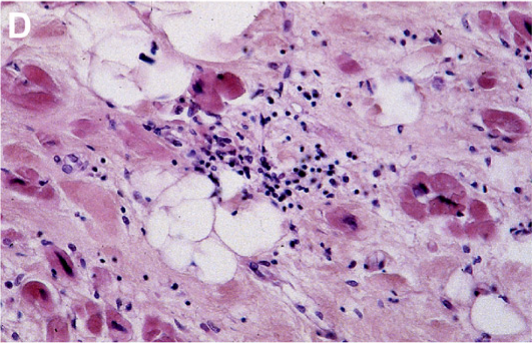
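This is heart muscle in which groups of clear, empty-looking fat cells lie among scattered pink cardiac muscle cells. The muscle cells are irregular and fragmented, set in a pale loose background. Near the centre is a cluster of small, dark, round nuclei.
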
